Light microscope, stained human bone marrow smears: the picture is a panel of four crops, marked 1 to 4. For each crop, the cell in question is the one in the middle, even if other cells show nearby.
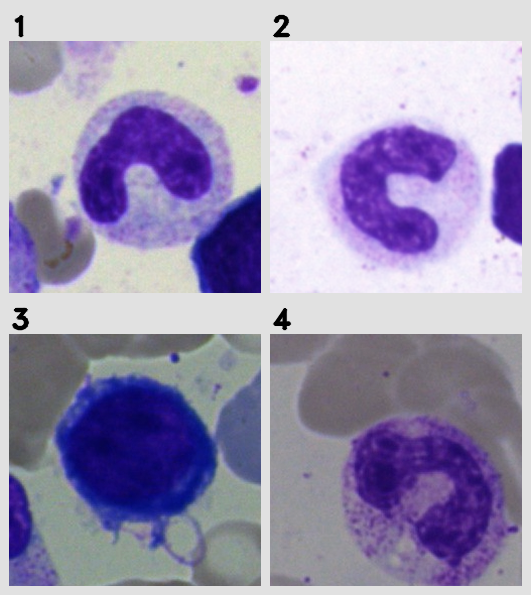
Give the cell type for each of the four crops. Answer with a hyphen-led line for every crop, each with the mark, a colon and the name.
- 1: band neutrophil
- 2: band neutrophil
- 3: proerythroblast
- 4: band neutrophil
